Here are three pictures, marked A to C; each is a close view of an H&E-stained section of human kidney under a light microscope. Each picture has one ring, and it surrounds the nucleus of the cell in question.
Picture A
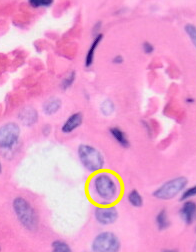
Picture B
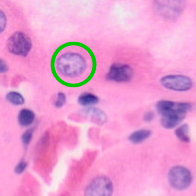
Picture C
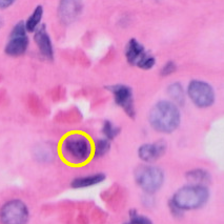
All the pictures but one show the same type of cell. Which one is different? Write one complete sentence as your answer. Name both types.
All pictures except A show proximal tubule cells; picture A shows a collecting duct cell.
